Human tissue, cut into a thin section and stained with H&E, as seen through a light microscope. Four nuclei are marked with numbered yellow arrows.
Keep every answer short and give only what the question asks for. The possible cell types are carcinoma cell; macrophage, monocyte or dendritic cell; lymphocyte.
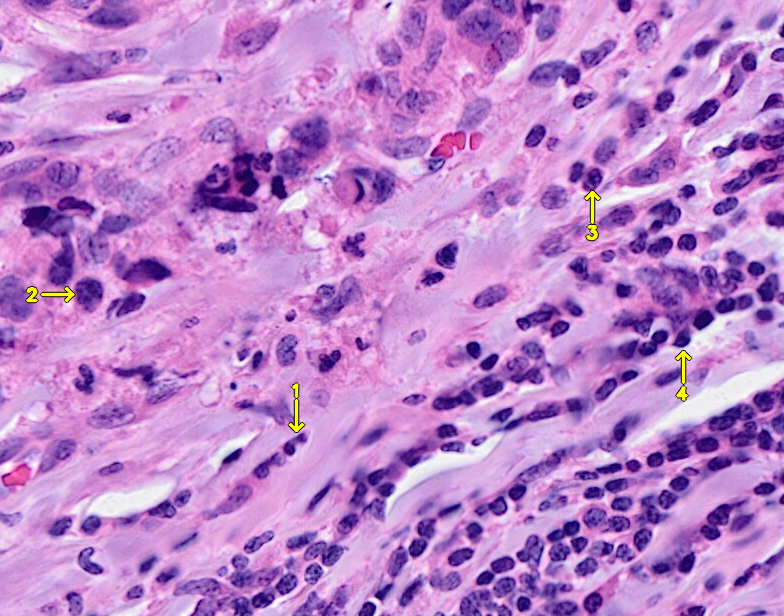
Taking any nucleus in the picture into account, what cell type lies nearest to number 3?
lymphocyte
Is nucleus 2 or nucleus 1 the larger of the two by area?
2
